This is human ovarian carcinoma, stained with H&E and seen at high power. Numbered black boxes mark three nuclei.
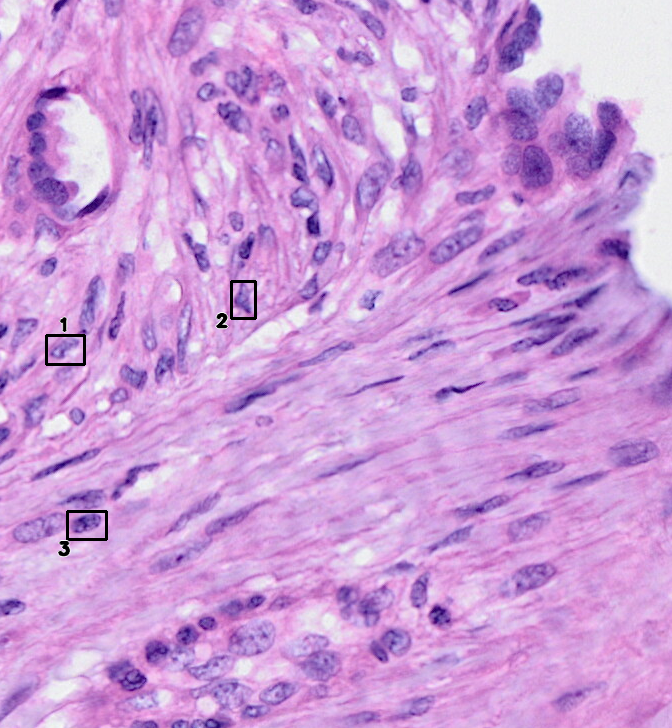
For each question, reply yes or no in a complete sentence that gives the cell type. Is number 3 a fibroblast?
No, a fibroblast is not what cell 3 is; it is a lymphocyte.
